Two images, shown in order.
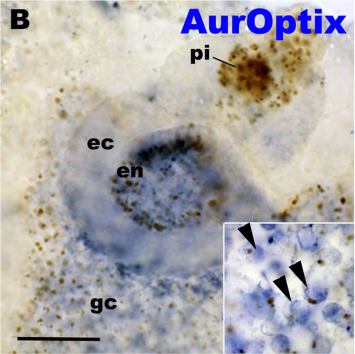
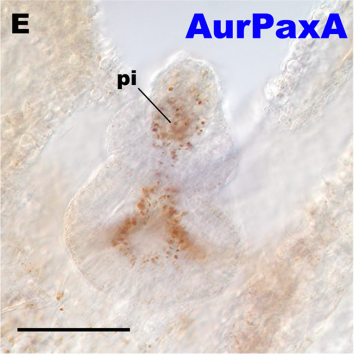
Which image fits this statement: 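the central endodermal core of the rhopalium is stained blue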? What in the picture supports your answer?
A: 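First image: the central core of the rhopalium carries a blue-purple tint around dense brown granules. On this evidence: the first image.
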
